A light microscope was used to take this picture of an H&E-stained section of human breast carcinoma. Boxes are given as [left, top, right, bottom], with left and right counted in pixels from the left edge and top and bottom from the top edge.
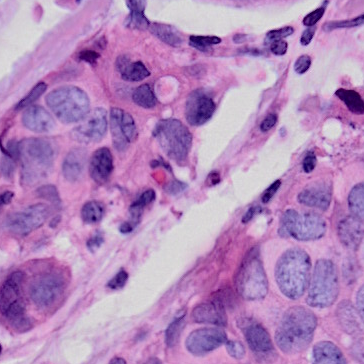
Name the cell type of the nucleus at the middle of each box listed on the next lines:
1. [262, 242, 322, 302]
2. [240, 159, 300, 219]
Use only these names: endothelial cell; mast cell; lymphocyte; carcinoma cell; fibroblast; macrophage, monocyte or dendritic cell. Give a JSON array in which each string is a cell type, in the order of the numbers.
["carcinoma cell", "lymphocyte"]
